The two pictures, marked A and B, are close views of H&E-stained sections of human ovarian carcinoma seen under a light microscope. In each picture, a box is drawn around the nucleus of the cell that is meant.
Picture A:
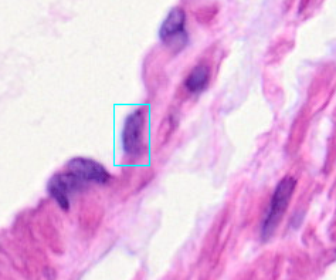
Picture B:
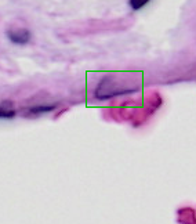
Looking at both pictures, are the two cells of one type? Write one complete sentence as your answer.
Yes, both cells are endothelial cells.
